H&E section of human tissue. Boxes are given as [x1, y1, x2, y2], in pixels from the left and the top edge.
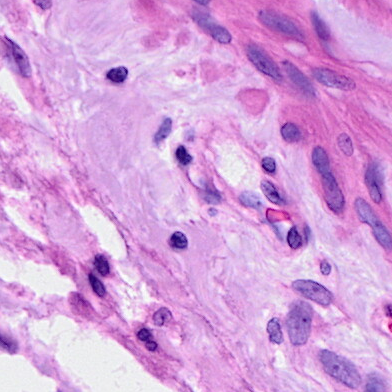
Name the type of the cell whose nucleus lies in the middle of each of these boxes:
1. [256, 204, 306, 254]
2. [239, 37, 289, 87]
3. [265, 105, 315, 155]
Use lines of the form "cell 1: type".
cell 1: endothelial cell
cell 2: smooth muscle cell
cell 3: smooth muscle cell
